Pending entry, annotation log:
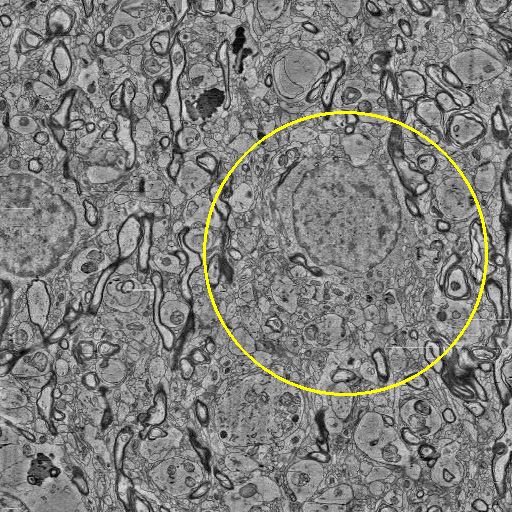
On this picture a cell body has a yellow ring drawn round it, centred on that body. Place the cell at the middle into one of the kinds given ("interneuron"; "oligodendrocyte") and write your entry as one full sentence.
The cell body at the middle of the yellow ring belongs to an oligodendrocyte.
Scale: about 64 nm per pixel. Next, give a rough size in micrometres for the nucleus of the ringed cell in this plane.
Roughly 7 micrometers across, in this plane.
